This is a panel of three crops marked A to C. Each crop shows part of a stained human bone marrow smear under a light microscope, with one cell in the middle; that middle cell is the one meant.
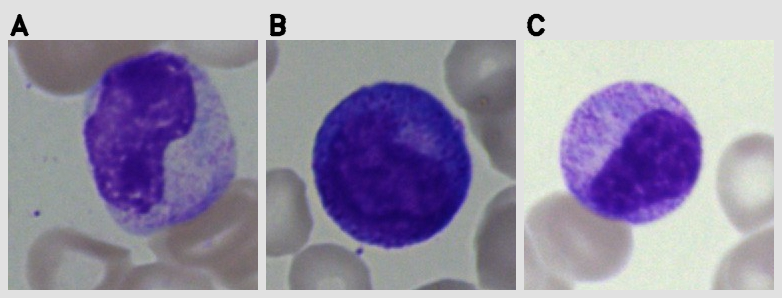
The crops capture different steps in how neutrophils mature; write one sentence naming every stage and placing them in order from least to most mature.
Ranked from least to most mature, the sequence is crop B (a promyelocyte), crop C (a myelocyte) and crop A (a metamyelocyte).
